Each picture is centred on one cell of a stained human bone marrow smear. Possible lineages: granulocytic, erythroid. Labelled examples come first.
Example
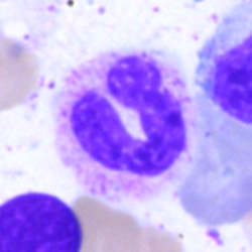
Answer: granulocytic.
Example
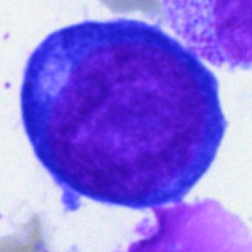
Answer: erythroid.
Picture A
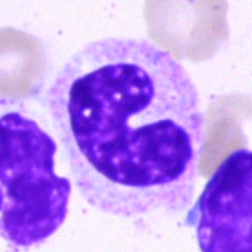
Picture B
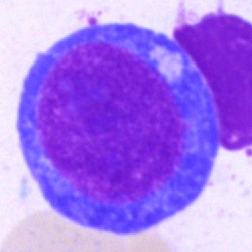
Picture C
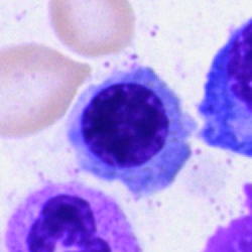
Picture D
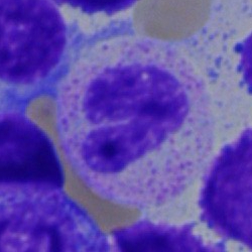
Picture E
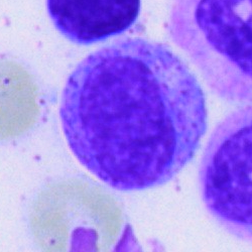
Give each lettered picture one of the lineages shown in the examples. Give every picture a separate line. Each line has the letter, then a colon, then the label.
A: granulocytic.
B: erythroid.
C: erythroid.
D: granulocytic.
E: granulocytic.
